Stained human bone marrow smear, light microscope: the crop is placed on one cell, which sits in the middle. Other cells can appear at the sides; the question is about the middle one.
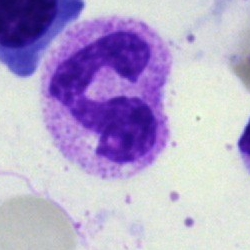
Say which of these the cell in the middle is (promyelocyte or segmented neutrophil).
segmented neutrophil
